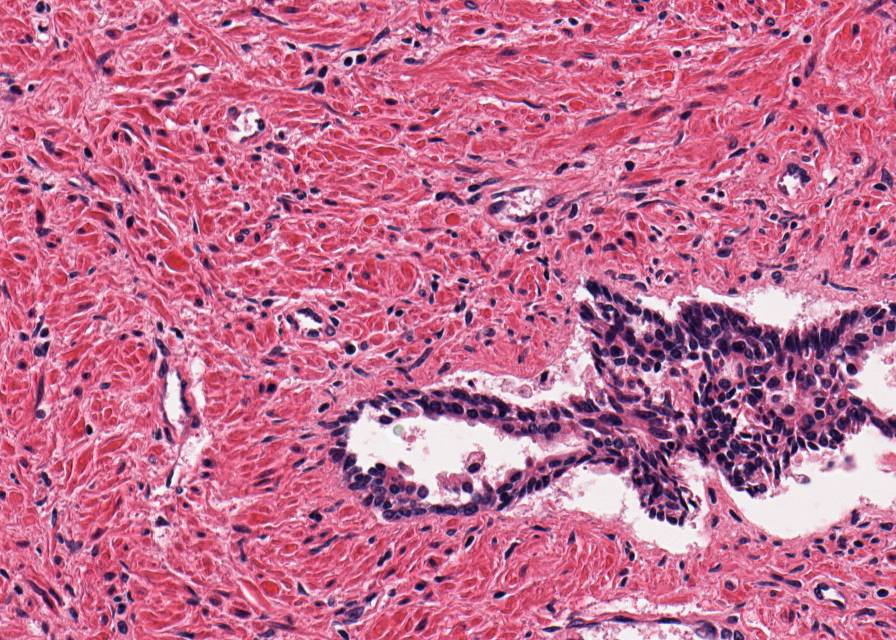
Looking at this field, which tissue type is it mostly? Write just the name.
fibromuscular stroma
